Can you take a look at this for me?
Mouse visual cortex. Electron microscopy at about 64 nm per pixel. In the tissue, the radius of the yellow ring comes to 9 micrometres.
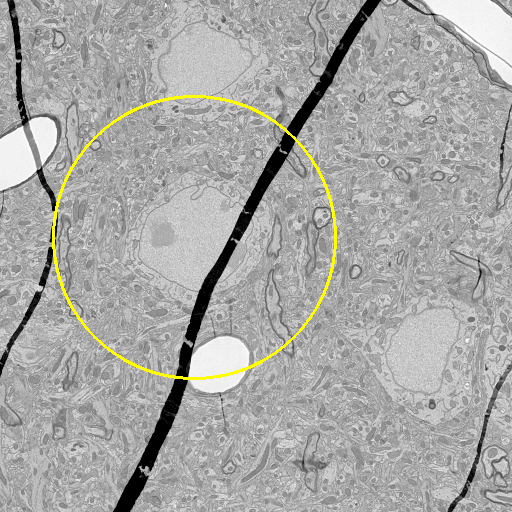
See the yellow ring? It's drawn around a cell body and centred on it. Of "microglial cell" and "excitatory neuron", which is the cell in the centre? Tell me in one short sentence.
The one in the centre is an excitatory neuron.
